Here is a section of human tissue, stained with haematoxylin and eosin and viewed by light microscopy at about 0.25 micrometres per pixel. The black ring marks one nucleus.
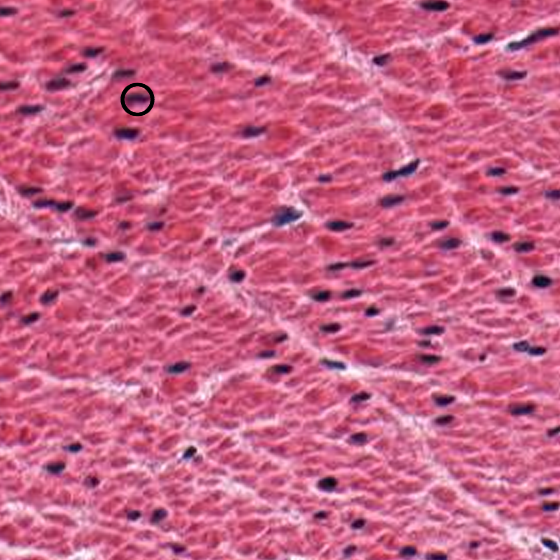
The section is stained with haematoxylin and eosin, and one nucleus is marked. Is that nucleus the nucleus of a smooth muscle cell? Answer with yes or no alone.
yes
